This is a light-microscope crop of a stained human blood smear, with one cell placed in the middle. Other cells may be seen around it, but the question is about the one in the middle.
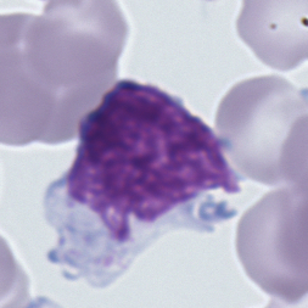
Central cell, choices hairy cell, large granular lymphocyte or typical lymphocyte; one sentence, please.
Occupying the centre of the crop is a typical lymphocyte.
